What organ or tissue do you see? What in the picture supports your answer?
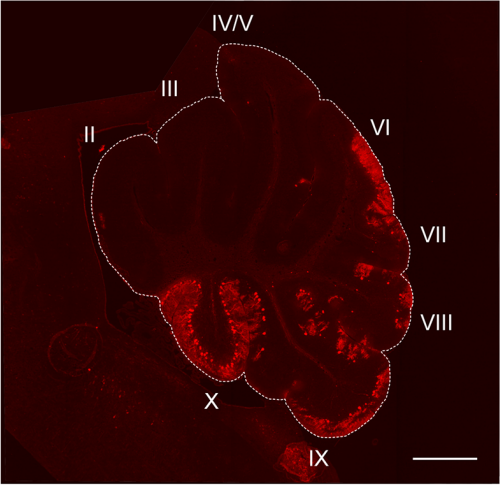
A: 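A section outlined by a dashed line shows many folded lobules fanning out around a central core. The folds are arranged in the foliated pattern of a sagittal section. That points to this answer: cerebellum.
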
